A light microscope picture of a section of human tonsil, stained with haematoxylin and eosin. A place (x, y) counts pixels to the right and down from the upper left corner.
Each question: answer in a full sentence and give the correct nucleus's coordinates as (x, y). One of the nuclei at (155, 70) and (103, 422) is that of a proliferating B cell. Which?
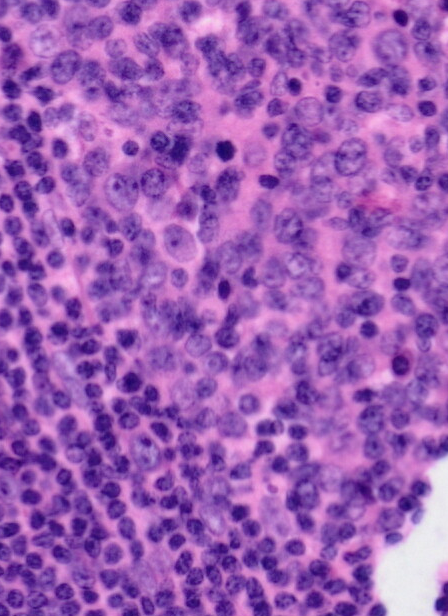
It is the nucleus at (155, 70) that forms part of a proliferating B cell.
